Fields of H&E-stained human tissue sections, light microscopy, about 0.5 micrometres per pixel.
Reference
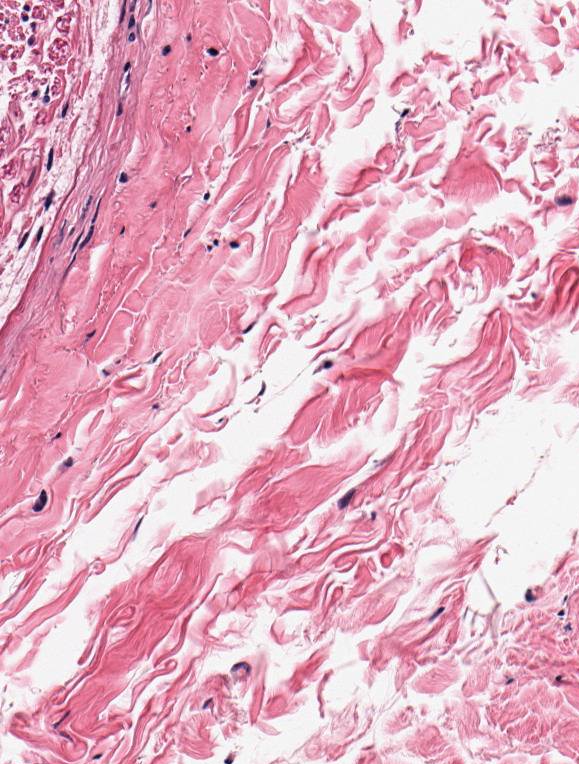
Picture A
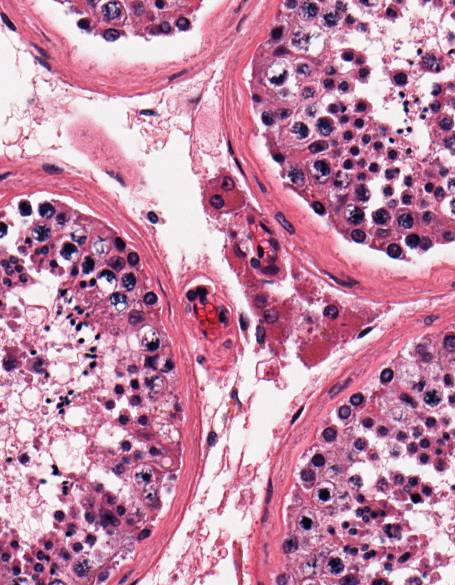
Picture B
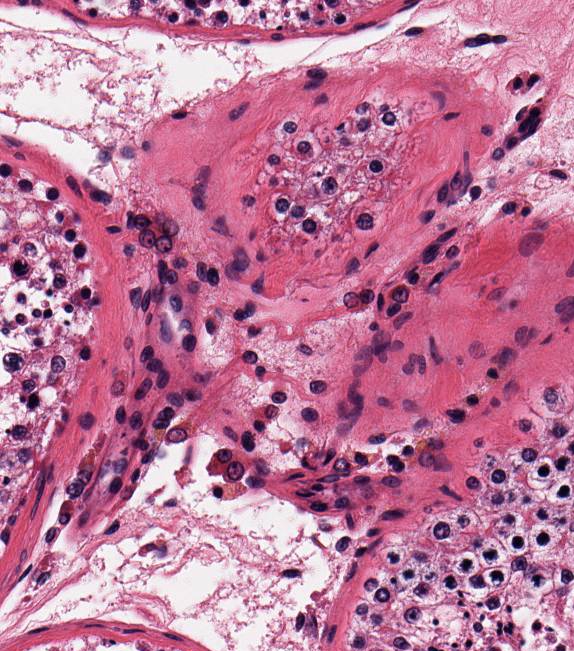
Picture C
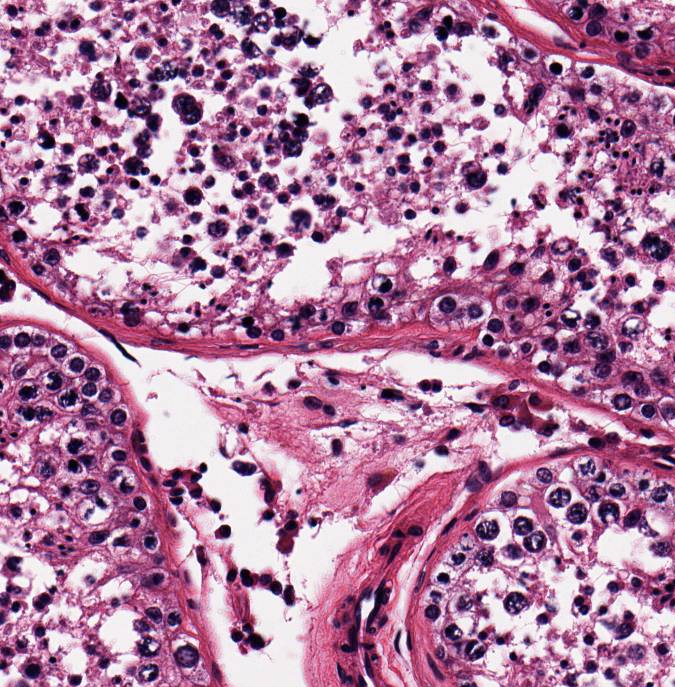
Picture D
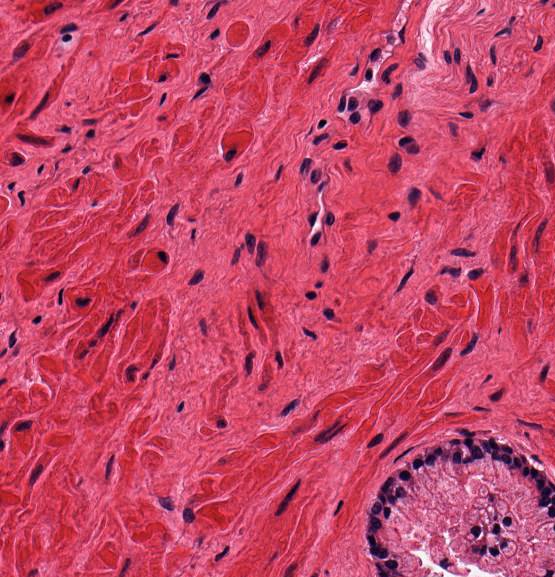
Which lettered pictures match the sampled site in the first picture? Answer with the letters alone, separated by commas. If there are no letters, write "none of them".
none of them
